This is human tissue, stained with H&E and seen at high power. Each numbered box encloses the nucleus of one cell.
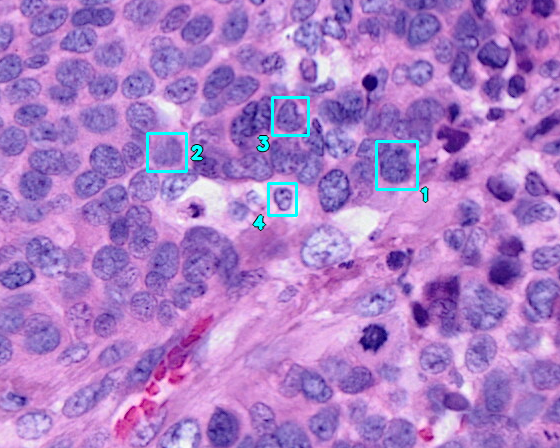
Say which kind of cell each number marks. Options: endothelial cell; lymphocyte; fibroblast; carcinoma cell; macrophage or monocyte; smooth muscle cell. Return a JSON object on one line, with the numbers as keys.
{"1": "carcinoma cell", "2": "carcinoma cell", "3": "carcinoma cell", "4": "macrophage or monocyte"}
